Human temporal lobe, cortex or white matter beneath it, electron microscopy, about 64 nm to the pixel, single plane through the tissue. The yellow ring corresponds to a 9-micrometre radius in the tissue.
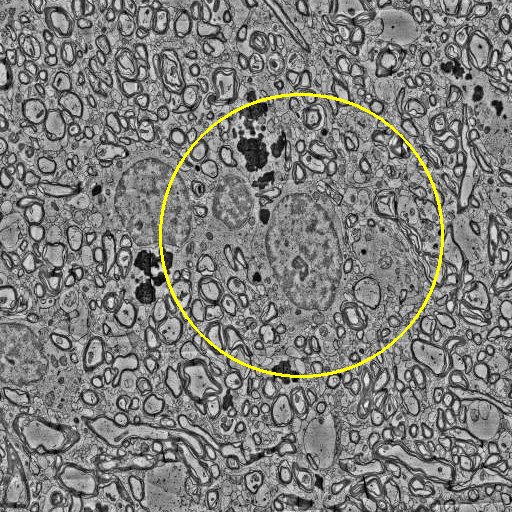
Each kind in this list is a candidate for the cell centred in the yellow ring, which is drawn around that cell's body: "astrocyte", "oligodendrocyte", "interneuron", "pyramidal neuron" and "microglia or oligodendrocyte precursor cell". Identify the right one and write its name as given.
oligodendrocyte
